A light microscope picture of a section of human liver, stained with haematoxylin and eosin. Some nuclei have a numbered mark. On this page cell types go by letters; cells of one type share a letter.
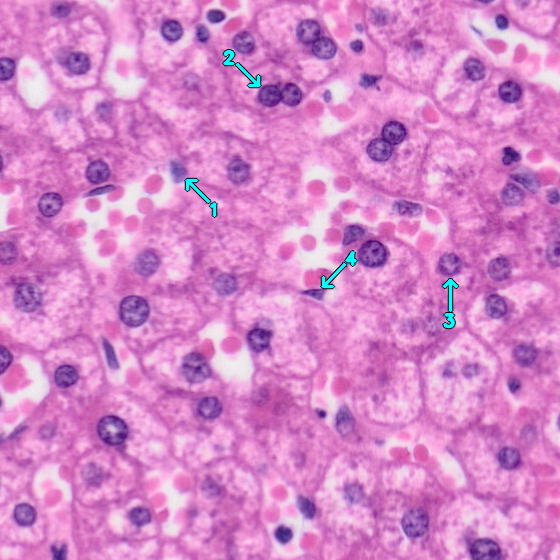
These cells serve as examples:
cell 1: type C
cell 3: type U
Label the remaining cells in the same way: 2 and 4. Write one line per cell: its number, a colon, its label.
2: type U
4: type C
